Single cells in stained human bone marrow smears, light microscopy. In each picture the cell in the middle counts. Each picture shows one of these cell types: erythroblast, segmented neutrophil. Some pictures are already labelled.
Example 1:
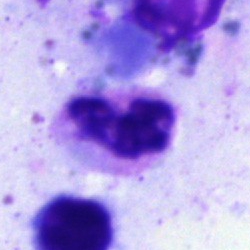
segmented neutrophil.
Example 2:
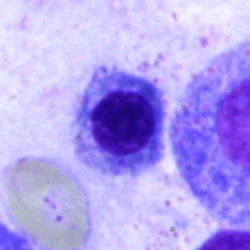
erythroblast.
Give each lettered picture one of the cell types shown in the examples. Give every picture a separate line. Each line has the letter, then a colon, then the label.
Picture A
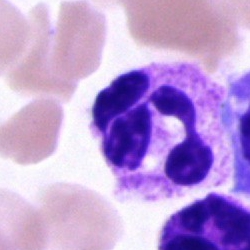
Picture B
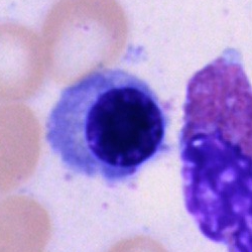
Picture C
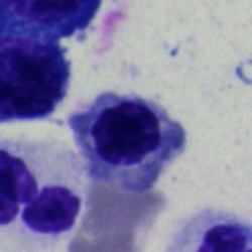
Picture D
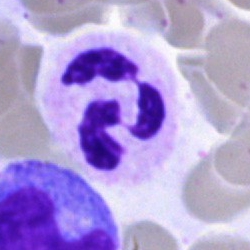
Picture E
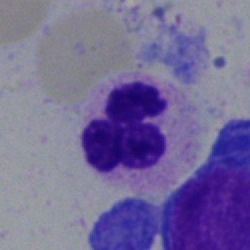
A: segmented neutrophil.
B: erythroblast.
C: erythroblast.
D: segmented neutrophil.
E: segmented neutrophil.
